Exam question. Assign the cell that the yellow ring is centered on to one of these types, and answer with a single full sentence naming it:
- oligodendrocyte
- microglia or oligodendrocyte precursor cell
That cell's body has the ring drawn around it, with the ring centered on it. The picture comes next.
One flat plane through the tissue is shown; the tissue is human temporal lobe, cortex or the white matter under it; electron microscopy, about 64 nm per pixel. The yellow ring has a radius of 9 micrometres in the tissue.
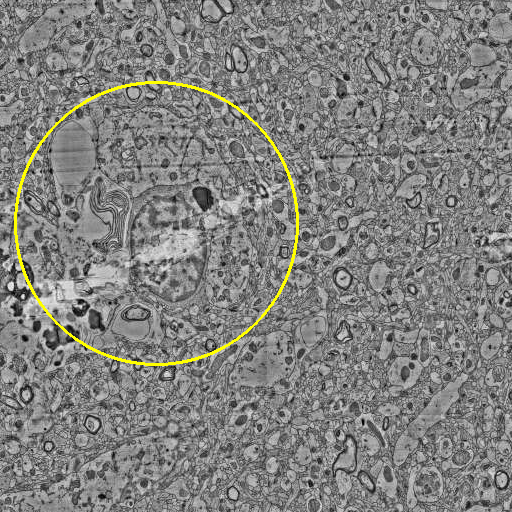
In the micrograph, the cell the yellow ring is centered on is an oligodendrocyte.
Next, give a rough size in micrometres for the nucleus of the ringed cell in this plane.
Approximately 7 micrometres long and 5 micrometres wide, in this plane.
